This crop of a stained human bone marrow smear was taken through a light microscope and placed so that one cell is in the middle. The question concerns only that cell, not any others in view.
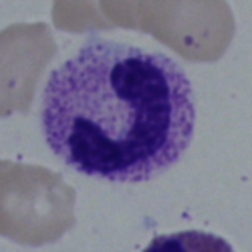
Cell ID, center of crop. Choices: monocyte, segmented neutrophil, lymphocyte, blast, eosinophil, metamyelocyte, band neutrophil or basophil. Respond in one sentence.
The cell of interest, in the center, is a band neutrophil.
